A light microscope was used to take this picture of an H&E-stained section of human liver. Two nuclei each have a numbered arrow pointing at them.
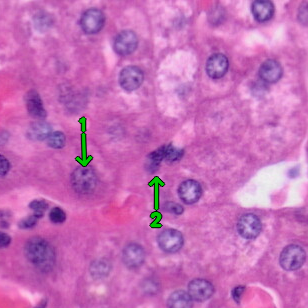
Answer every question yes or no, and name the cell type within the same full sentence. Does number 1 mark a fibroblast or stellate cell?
No, not a fibroblast or stellate cell: the cell with number 1 is a hepatocyte.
